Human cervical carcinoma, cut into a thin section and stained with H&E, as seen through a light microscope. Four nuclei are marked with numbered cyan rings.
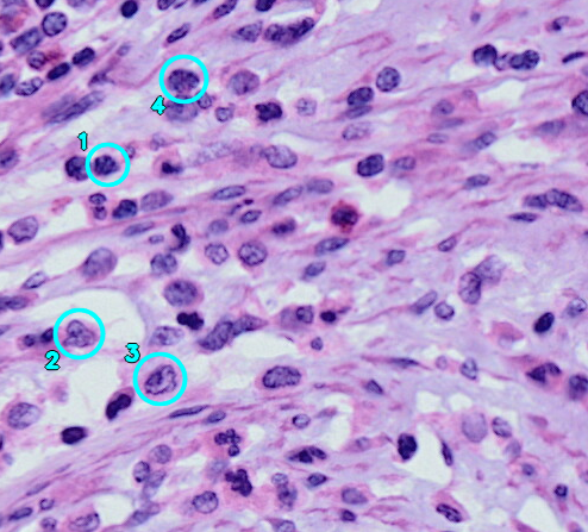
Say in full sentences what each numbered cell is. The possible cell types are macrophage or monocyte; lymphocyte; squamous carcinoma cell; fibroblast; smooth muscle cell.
Cells 1 and 4 are lymphocytes. Cells 2 and 3 are macrophages or monocytes.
